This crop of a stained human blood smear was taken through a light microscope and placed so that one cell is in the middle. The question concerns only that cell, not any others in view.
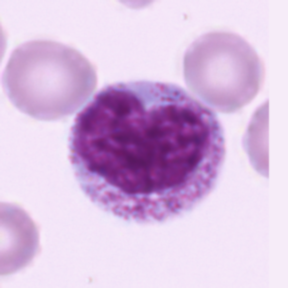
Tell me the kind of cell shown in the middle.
metamyelocyte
